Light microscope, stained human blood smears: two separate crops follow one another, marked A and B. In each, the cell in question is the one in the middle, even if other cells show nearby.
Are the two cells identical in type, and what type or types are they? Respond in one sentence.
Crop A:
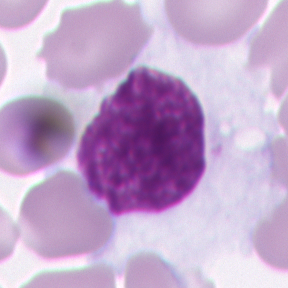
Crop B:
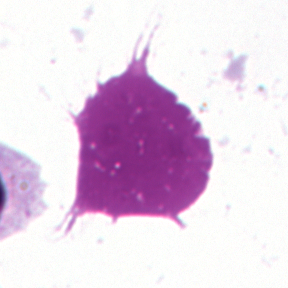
No, crop A captures a hairy cell, and crop B captures a smudge cell.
